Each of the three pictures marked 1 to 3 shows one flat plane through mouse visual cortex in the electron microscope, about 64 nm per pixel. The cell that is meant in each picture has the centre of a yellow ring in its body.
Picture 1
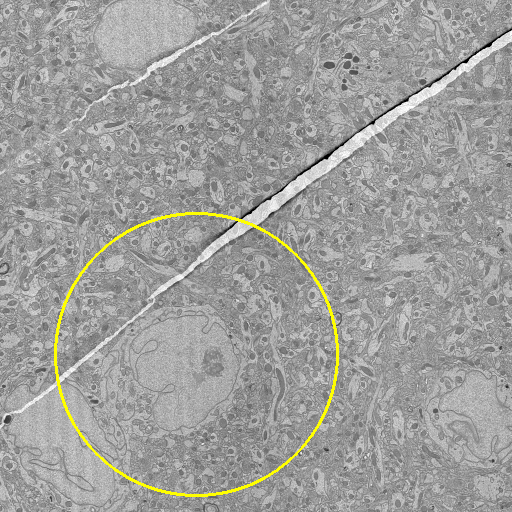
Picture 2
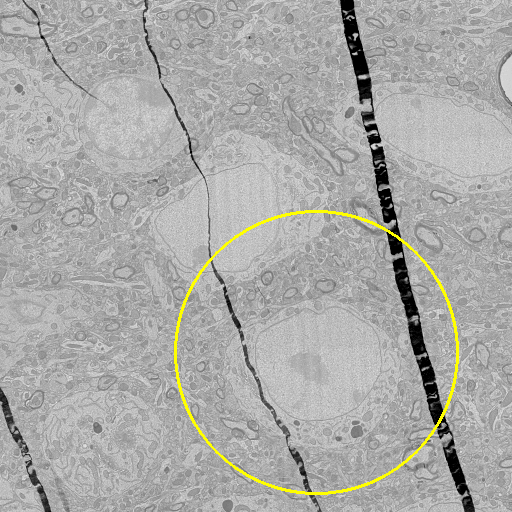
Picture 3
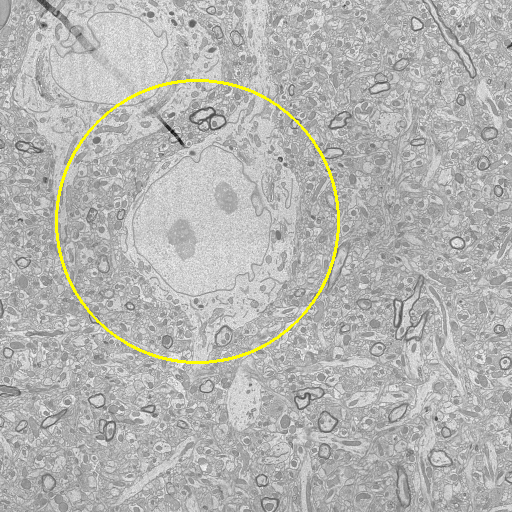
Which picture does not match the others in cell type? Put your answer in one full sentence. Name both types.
The others show excitatory neurons, but picture 1 shows an inhibitory neuron.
